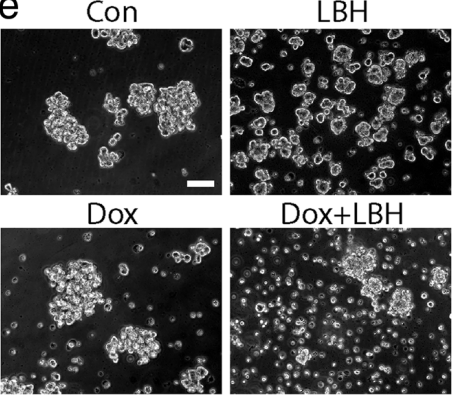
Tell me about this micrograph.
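Where the spheres are intact, many small round cells pack tightly into large compact clusters with bright, refractile edges. In some images the clusters are smaller and more numerous, and many single rounded cells float free between them. In the lower right image, large spheres are scarce and the field is filled with scattered small, isolated round bodies and debris rather than cohesive clusters, consistent with massive cell death.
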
